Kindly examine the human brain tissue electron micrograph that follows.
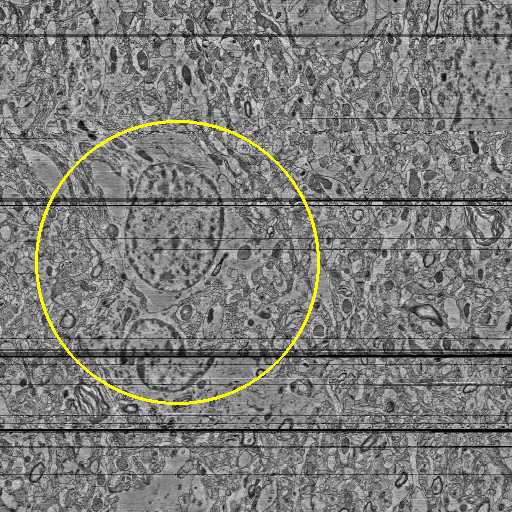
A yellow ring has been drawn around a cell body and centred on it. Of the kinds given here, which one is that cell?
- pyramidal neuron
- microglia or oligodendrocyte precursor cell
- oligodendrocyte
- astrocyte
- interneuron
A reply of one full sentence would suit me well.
The micrograph's ringed cell, the one at the ring's centre, is an astrocyte.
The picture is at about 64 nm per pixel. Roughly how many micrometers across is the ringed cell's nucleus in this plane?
In this plane the nucleus measures roughly 9 by 6 micrometers.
